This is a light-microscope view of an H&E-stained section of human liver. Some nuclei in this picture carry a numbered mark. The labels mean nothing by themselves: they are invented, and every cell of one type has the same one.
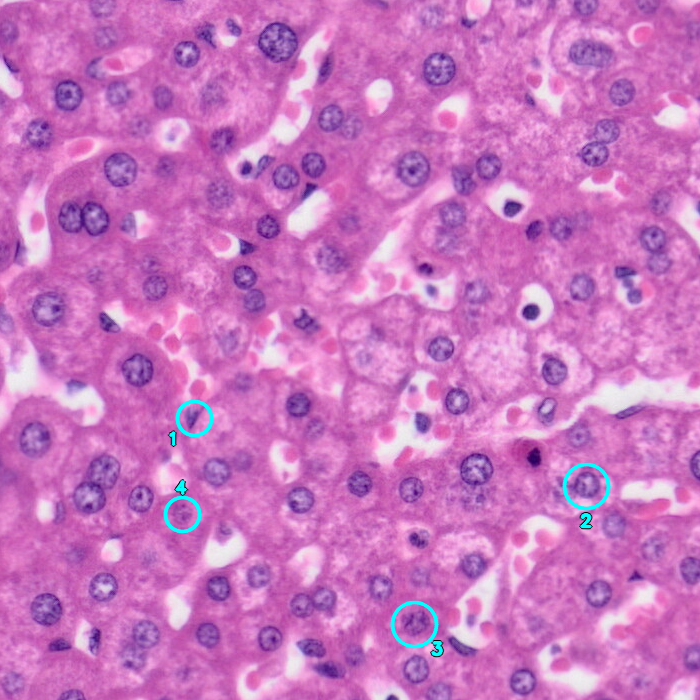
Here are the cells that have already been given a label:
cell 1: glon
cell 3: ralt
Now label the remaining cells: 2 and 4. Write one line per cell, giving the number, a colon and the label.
2: ralt
4: ralt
